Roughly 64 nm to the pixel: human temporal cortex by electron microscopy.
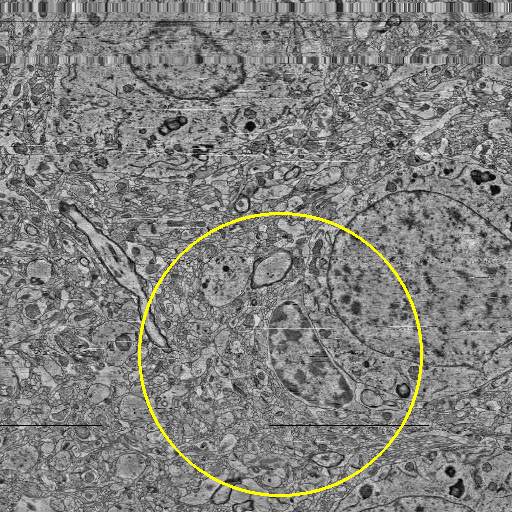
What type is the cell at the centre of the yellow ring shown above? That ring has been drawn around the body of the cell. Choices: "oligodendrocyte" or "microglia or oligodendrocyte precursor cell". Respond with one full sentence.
My answer is that a microglial cell or oligodendrocyte precursor cell lies at the centre of the yellow ring above.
